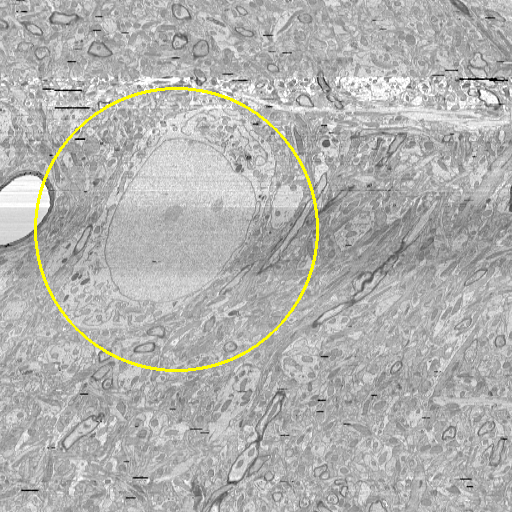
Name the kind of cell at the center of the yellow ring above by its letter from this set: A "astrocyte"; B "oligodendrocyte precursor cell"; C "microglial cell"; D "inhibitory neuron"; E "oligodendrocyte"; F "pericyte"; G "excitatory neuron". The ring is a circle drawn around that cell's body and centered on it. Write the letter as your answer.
D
